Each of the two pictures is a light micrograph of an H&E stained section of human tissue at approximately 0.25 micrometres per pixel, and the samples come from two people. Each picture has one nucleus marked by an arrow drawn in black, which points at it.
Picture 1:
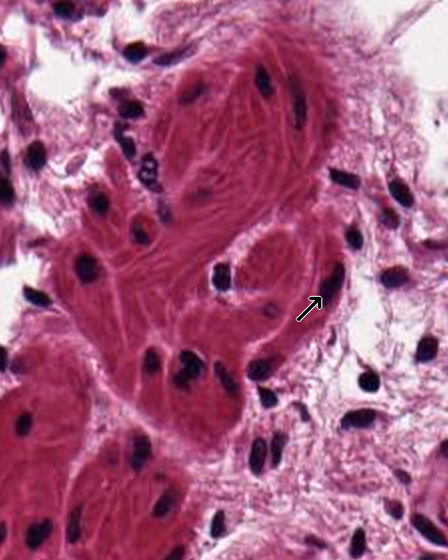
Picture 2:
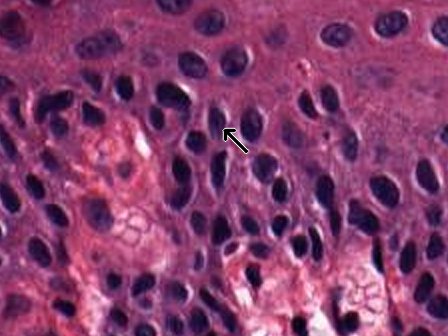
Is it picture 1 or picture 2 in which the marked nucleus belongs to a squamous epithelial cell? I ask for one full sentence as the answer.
The marked nucleus belongs, in picture 2, to a squamous epithelial cell.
